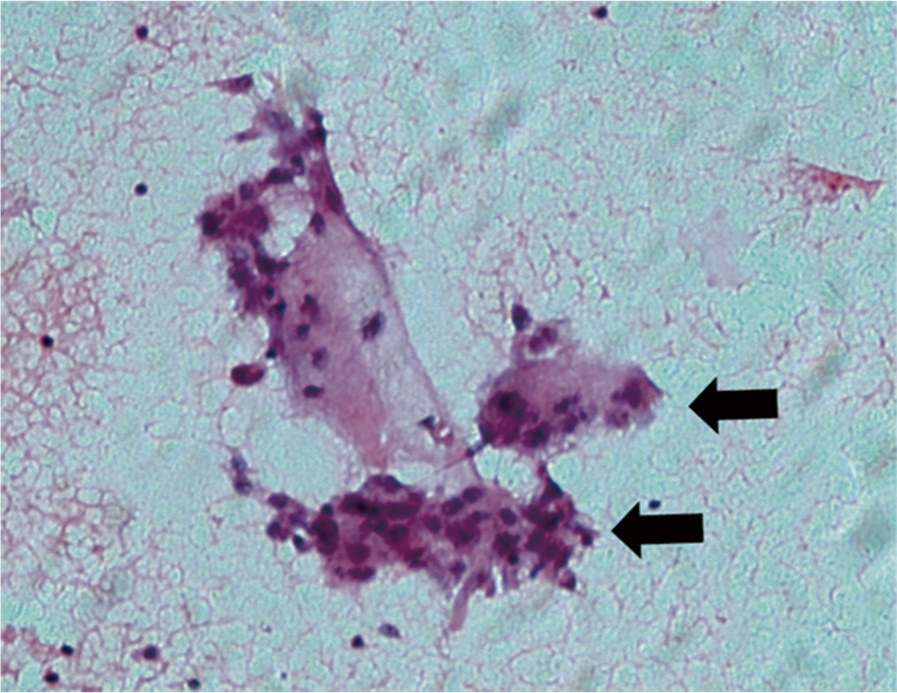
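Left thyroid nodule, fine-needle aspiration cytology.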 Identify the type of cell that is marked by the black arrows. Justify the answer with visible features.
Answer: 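Each arrowed body is a single large mass of pink-purple cytoplasm. Many dark purple nuclei lie crowded within each arrowed mass. The arrowed masses are many times larger than the scattered single small nuclei in the background. That points to this answer: multinuclear giant cells.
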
